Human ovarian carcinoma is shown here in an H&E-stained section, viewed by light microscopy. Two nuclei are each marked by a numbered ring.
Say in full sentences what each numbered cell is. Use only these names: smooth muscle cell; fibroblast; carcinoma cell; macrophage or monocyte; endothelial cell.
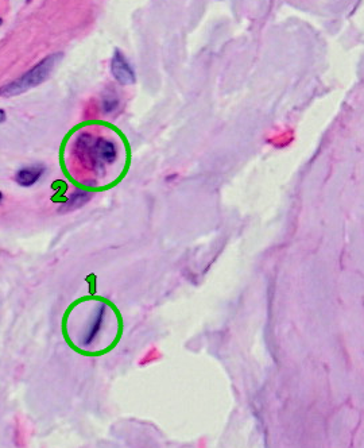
Cell 1 is a fibroblast. Cell 2 is an endothelial cell.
